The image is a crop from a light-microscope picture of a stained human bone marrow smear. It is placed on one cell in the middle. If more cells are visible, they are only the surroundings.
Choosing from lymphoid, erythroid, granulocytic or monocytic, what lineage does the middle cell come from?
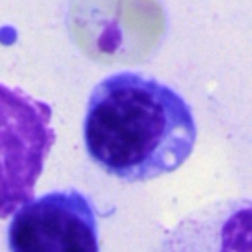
erythroid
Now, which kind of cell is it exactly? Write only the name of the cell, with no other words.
erythroblast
